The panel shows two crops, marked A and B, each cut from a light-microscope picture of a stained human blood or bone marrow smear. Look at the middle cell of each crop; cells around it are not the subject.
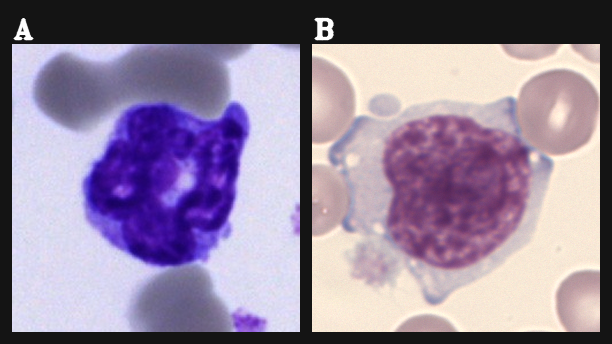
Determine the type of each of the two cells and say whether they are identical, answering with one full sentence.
No, a monocyte is the subject of crop A, and a blast is the subject of crop B.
